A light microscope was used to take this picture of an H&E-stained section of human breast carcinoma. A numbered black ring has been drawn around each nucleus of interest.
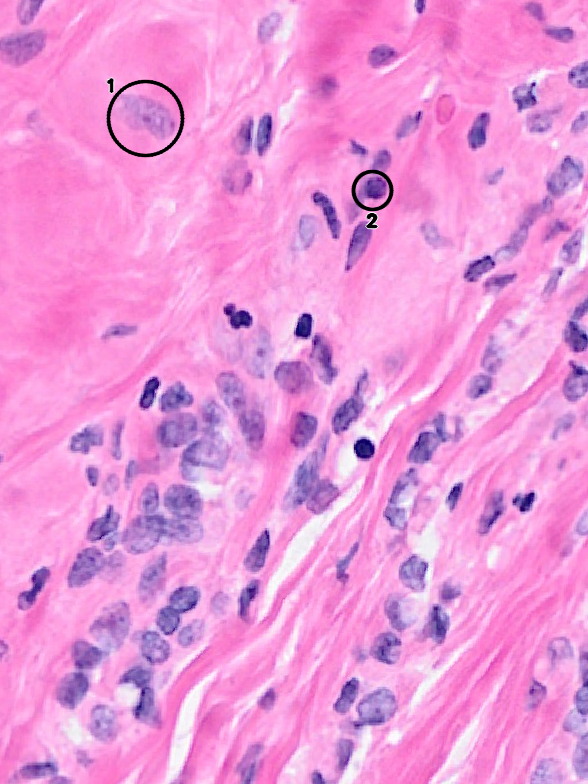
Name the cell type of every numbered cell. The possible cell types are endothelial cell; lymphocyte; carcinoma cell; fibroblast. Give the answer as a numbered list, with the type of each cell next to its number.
1. fibroblast
2. lymphocyte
